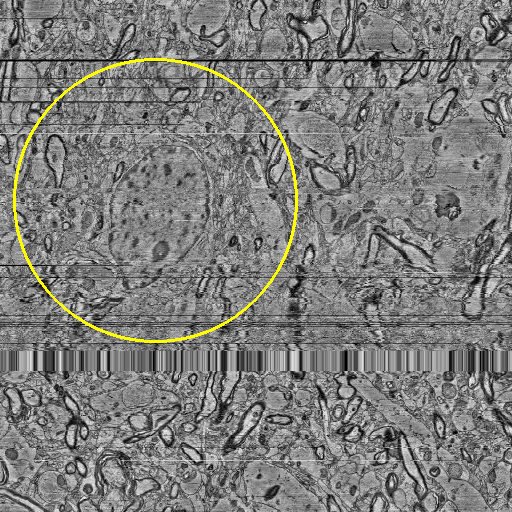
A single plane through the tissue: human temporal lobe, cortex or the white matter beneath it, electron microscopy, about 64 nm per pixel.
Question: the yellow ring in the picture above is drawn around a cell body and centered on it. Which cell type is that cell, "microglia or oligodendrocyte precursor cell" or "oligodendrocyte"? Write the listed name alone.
microglia or oligodendrocyte precursor cell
